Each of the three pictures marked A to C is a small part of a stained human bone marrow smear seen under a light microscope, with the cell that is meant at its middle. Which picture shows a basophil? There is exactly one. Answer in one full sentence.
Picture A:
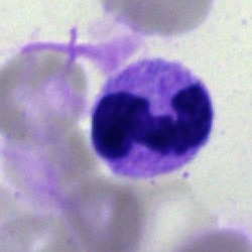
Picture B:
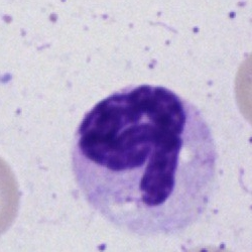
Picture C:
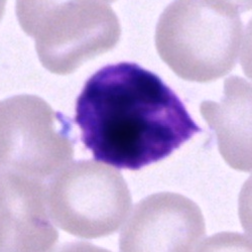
The picture with the basophil is C.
